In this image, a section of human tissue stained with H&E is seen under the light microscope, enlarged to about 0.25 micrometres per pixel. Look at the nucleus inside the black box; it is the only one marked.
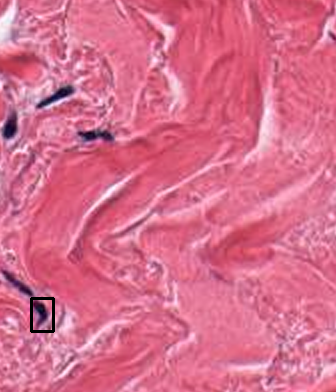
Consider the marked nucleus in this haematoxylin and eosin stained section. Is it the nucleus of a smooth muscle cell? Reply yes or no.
no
